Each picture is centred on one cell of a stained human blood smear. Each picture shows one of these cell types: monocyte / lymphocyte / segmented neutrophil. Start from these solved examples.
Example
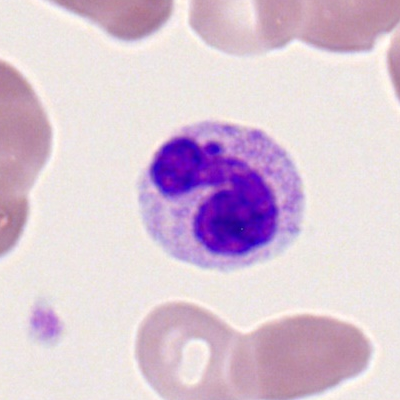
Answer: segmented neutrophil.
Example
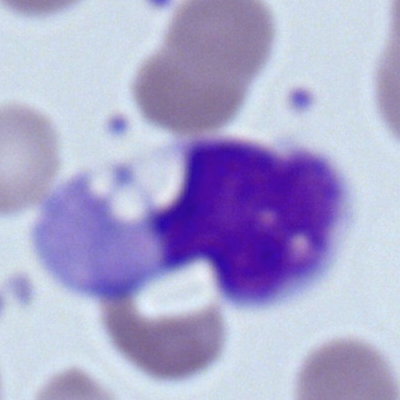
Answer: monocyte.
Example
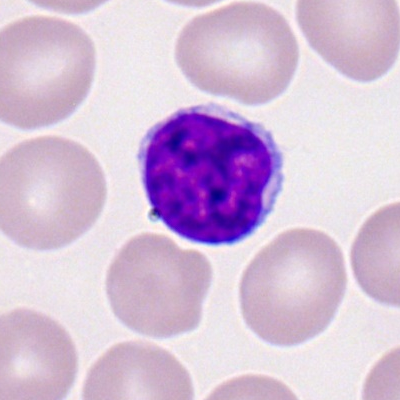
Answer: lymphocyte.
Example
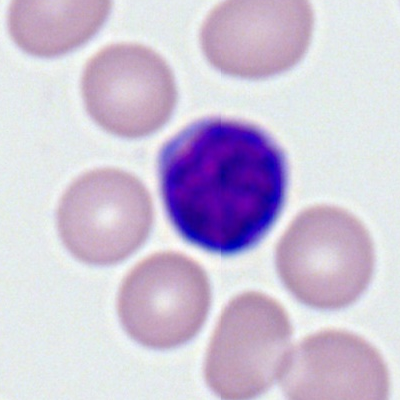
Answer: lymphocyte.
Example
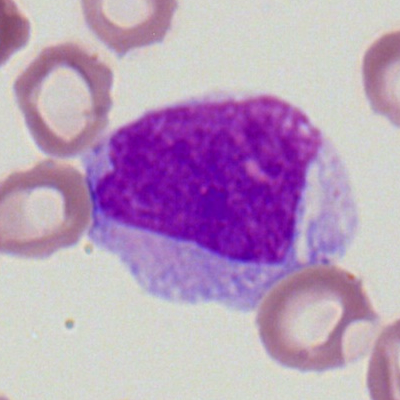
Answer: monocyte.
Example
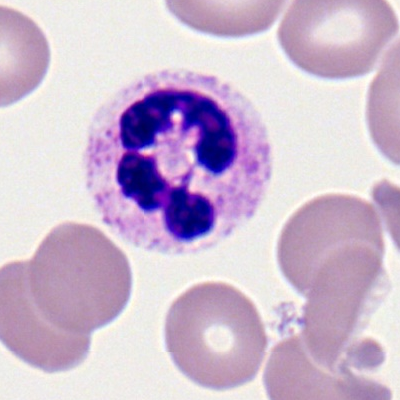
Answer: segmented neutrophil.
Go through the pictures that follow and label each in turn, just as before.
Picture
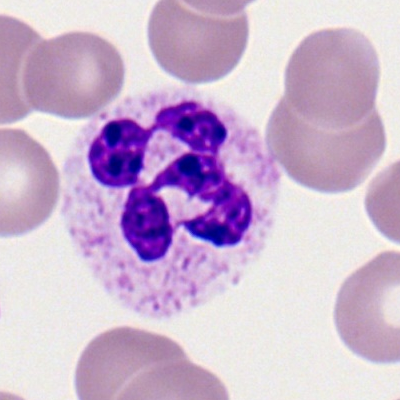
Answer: segmented neutrophil.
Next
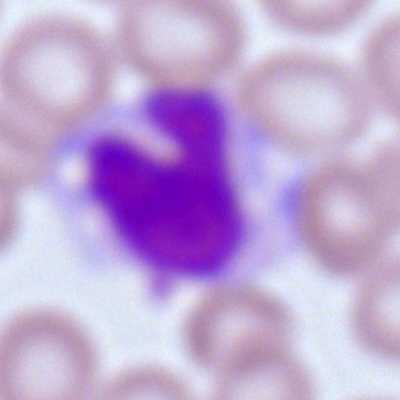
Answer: monocyte.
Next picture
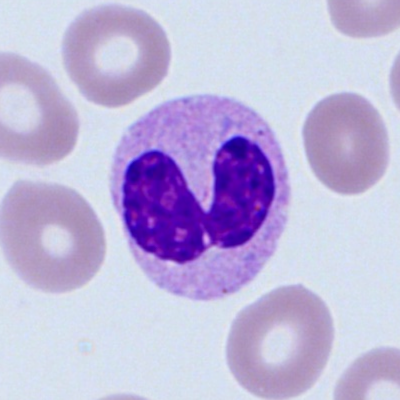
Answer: segmented neutrophil.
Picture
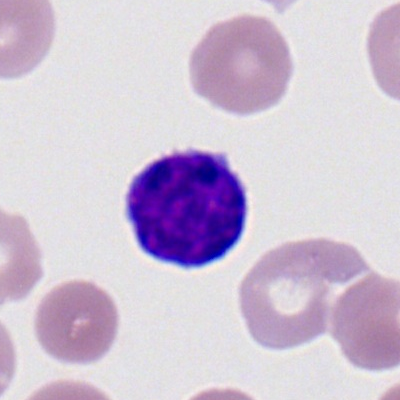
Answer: lymphocyte.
